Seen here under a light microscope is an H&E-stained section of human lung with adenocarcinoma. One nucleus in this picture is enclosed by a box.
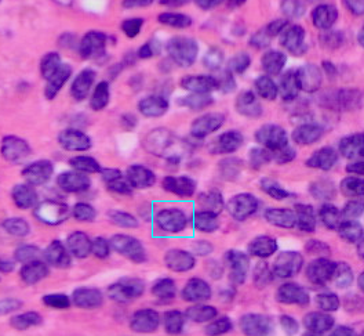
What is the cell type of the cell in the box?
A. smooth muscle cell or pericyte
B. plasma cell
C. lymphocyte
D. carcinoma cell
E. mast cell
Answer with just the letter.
C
